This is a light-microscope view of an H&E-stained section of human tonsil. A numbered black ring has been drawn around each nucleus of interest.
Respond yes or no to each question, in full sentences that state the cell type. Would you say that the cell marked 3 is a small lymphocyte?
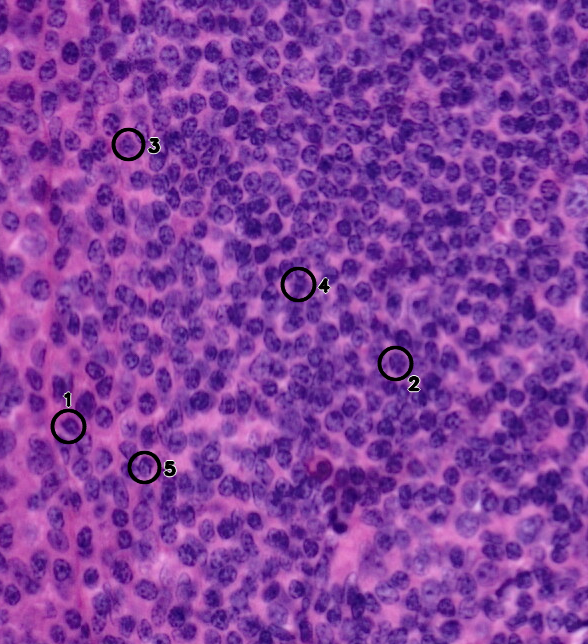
No, calling cell 3 a small lymphocyte is incorrect; it is a plasma cell.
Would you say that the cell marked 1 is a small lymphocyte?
No, it is not a small lymphocyte that bears number 1 but a plasma cell.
